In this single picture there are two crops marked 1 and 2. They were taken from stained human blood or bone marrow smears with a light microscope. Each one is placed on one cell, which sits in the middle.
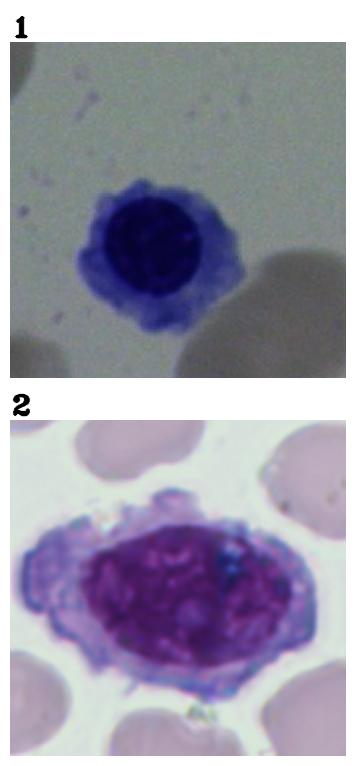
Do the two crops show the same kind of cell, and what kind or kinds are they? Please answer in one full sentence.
No, as for crop 1, it shows a normoblast, and crop 2 shows a plasma cell.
